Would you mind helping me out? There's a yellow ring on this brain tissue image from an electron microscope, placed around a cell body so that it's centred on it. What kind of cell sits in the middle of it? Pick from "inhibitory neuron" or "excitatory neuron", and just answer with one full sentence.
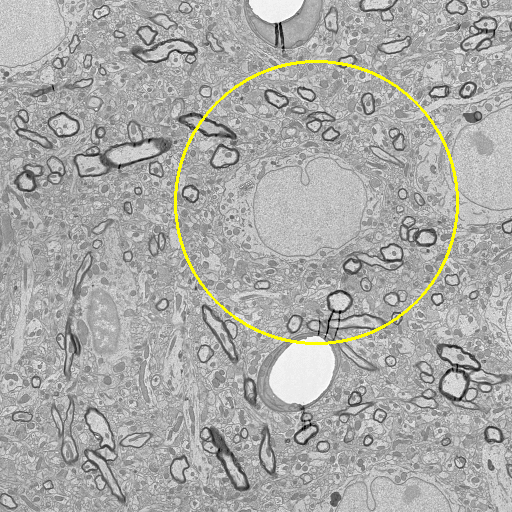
What sits in the middle of that yellow ring is an excitatory neuron, from your choices.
